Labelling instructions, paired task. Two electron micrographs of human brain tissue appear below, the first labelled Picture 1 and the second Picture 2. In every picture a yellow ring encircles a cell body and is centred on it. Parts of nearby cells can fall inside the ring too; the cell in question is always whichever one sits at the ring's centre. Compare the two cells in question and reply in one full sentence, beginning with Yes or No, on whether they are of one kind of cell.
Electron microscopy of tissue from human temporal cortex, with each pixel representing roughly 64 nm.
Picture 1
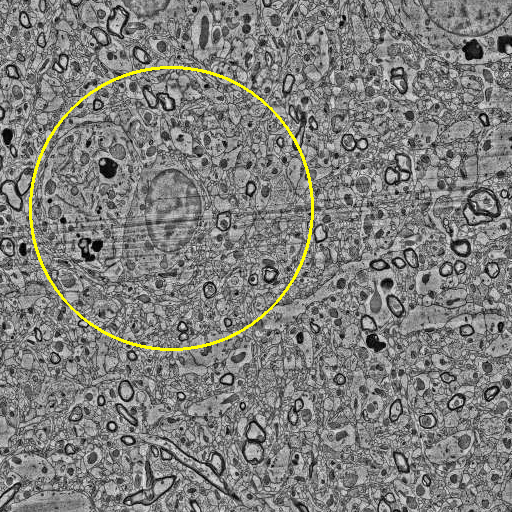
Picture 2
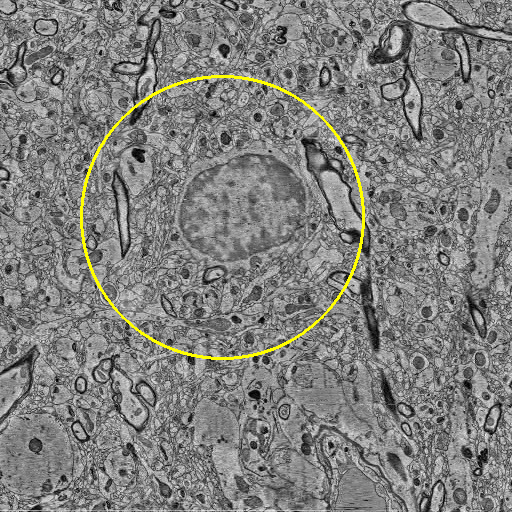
Yes, the two cells at the ring centres in Picture 1 and Picture 2 are of one kind.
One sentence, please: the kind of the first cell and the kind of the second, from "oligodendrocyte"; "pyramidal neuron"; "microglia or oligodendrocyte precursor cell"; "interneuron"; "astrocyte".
Each of the ringed cells, first and second, is an oligodendrocyte.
